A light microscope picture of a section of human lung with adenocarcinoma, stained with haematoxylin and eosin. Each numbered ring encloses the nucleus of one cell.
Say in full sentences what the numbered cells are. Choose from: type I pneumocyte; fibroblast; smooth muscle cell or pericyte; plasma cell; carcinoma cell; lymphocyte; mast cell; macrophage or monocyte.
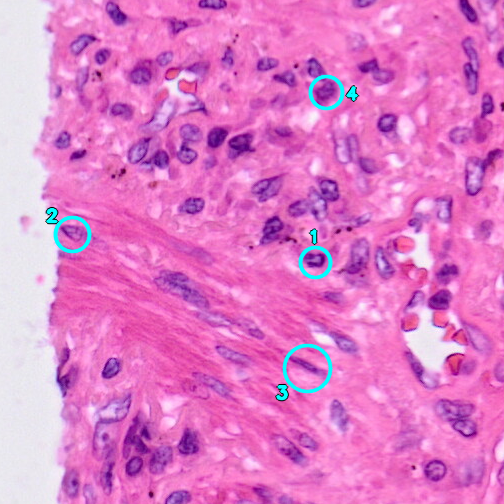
Cell 1 is a plasma cell, cell 2 is a smooth muscle cell or pericyte, cell 3 is a smooth muscle cell or pericyte and cell 4 is a plasma cell.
